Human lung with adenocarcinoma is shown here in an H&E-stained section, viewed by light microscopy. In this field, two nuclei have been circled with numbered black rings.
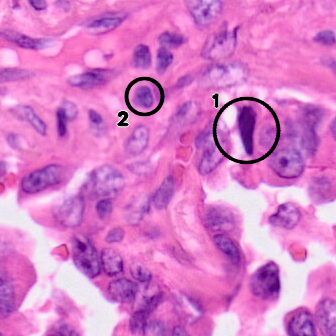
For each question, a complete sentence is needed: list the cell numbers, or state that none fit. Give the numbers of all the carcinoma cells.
Cell 1 represents a carcinoma cell, and no other numbered cell does.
